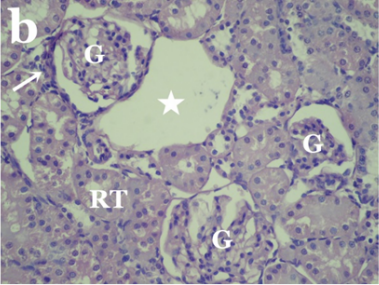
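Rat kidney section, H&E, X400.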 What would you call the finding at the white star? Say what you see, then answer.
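Huge cavity. The star lies in a large empty pale space among the tubules and glomeruli. The space is far larger than any tubular lumen around it.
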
